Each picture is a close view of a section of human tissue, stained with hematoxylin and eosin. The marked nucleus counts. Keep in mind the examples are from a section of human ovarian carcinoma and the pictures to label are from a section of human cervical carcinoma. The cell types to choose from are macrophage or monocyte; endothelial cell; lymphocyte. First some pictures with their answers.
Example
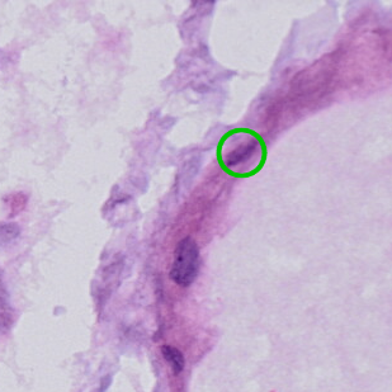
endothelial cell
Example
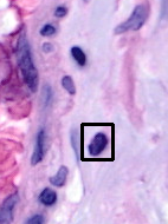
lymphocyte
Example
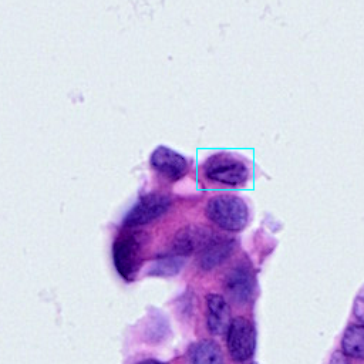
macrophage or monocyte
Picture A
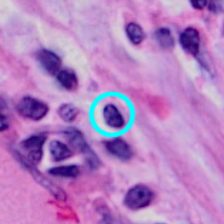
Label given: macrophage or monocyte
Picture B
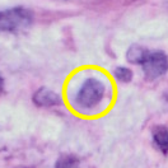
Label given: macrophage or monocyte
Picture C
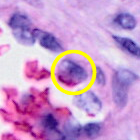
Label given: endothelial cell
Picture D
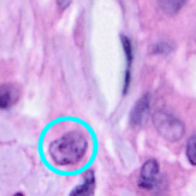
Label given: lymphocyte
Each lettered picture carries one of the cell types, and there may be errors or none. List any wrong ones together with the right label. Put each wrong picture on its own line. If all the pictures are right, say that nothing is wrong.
Wrong: A (macrophage or monocyte); correct: lymphocyte
Wrong: D (lymphocyte); correct: macrophage or monocyte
